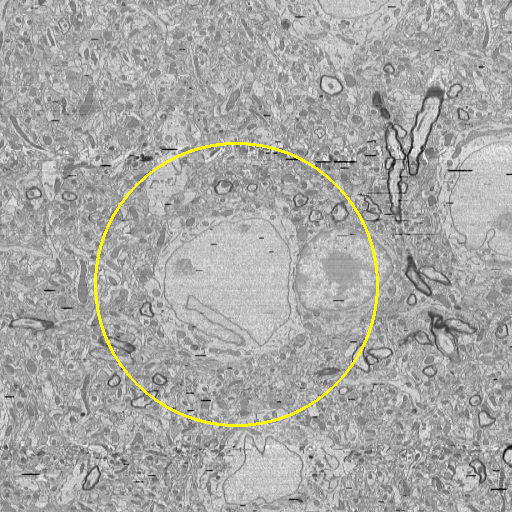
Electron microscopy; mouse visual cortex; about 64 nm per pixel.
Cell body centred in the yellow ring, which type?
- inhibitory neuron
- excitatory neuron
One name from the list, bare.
excitatory neuron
